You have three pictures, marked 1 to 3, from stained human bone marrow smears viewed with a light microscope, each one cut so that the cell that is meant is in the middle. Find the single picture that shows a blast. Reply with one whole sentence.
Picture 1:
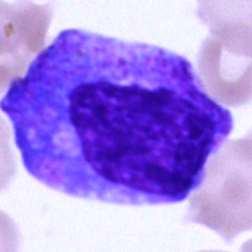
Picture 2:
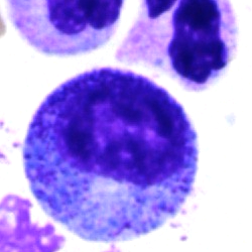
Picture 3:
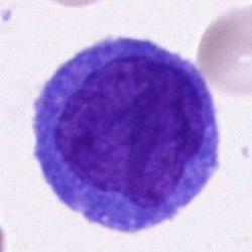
Picture 3 shows the blast.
